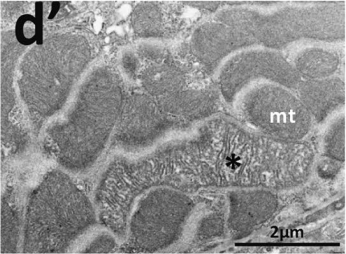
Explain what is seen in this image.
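Most are oval to short rod-shaped with a dense dark matrix, separated by pale folds of membrane. The mitochondria overall look shorter and more rounded than long parallel rods.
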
